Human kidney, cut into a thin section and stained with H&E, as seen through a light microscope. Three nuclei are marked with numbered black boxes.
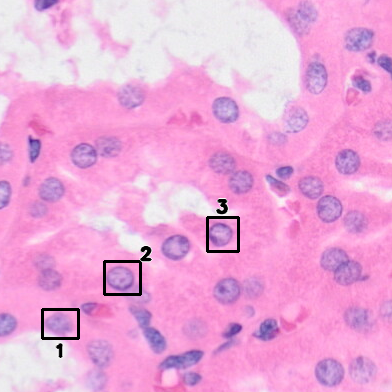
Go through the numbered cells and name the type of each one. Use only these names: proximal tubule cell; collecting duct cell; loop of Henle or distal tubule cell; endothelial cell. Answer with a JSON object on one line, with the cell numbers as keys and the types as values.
{"1": "loop of Henle or distal tubule cell", "2": "proximal tubule cell", "3": "proximal tubule cell"}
